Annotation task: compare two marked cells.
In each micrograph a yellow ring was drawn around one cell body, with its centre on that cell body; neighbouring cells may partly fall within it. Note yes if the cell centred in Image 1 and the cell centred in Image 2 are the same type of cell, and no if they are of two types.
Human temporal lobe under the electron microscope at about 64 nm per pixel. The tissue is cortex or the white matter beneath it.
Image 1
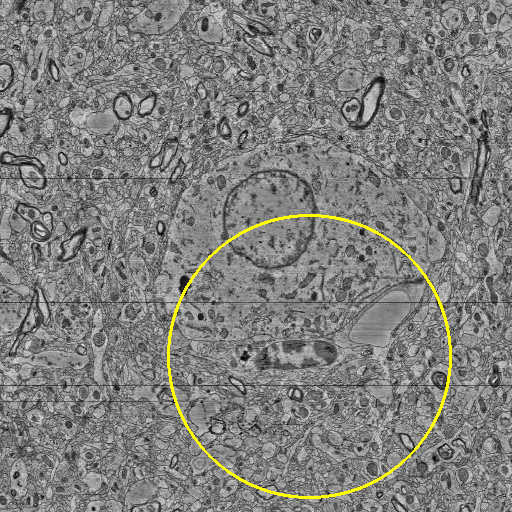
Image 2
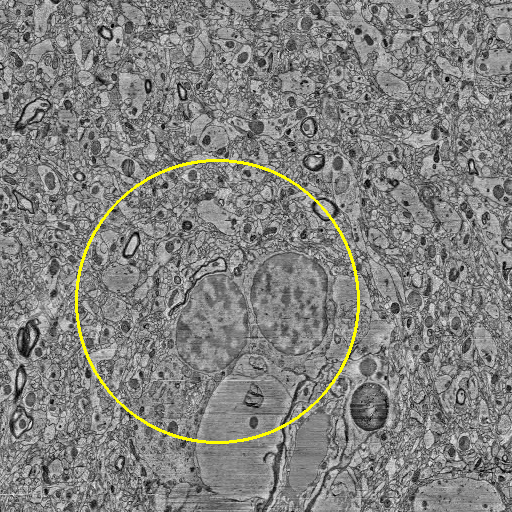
no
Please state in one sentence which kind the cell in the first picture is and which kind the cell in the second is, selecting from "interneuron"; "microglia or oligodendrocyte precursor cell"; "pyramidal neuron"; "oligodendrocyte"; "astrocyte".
The first ringed cell is a microglial cell or oligodendrocyte precursor cell, the second ringed cell an oligodendrocyte.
